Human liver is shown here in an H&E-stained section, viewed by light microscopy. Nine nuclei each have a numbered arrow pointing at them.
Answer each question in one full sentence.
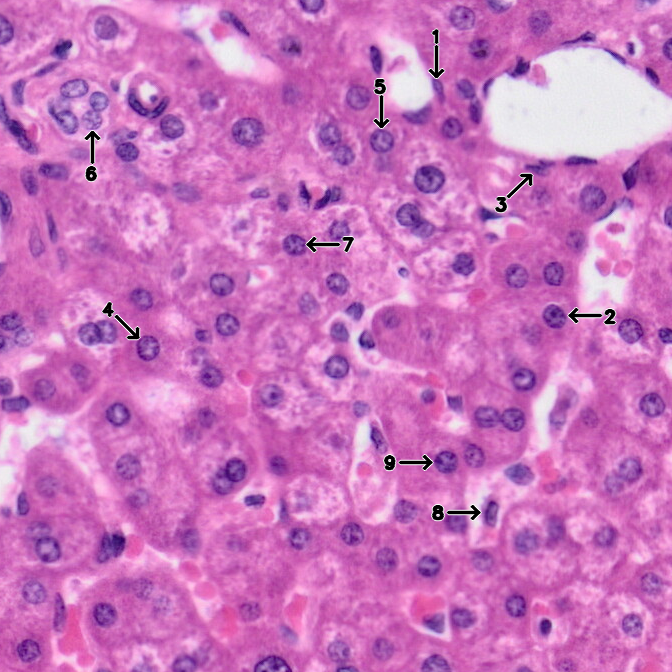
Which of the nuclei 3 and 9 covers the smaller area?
Nucleus 3 covers less area, with nucleus 9 about 2 times as large.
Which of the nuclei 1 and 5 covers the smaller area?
With nucleus 5 about 2.5 times its size, nucleus 1 is the smaller of the two.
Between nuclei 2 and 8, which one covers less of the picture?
It is nucleus 8; nucleus 2 has about 1.5 times its area.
